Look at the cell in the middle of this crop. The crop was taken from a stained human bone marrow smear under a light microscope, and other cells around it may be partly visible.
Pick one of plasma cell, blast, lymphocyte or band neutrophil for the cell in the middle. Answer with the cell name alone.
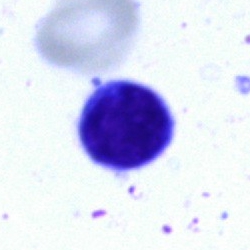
lymphocyte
